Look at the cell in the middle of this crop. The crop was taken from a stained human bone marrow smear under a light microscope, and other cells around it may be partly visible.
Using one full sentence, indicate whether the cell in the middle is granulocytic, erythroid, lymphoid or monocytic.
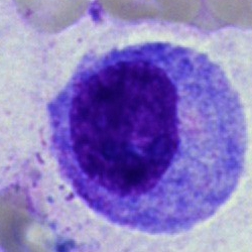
The cell in the middle falls under the granulocytic lineage.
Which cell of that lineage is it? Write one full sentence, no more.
The cell the crop is centered on is a promyelocyte.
